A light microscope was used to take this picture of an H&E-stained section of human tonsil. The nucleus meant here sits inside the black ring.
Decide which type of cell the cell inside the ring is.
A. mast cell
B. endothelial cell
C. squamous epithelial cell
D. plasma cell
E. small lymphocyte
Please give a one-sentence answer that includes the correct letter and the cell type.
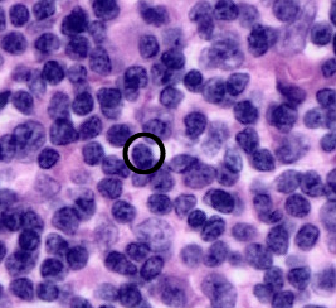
Here the correct option is E, since the cell inside the ring is a small lymphocyte.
